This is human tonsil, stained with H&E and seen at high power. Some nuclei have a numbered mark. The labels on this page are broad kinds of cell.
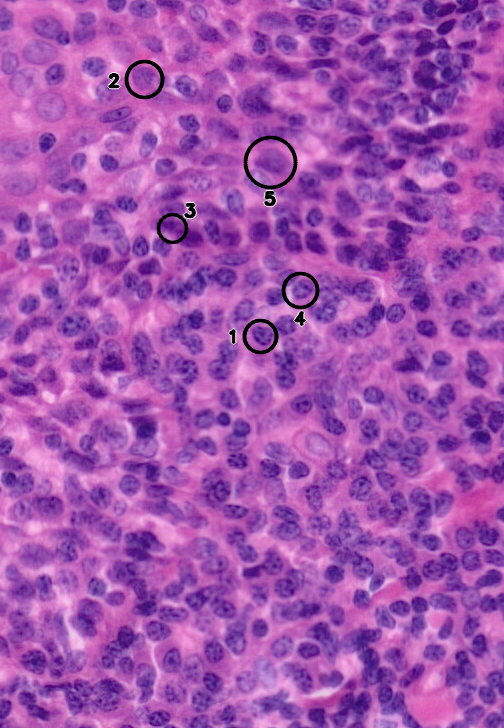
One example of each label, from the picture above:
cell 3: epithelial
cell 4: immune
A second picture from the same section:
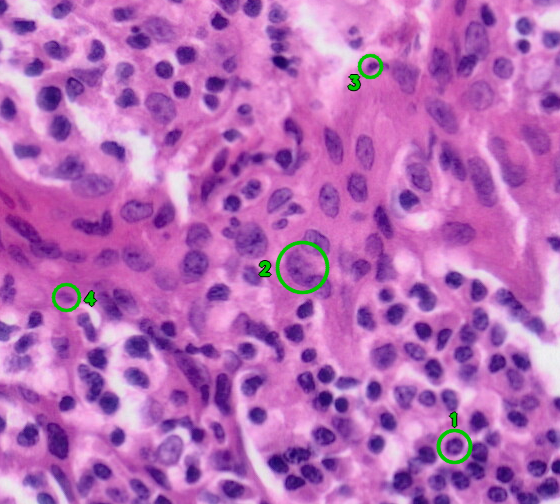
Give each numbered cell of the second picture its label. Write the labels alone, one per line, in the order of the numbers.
immune
epithelial
epithelial
epithelial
